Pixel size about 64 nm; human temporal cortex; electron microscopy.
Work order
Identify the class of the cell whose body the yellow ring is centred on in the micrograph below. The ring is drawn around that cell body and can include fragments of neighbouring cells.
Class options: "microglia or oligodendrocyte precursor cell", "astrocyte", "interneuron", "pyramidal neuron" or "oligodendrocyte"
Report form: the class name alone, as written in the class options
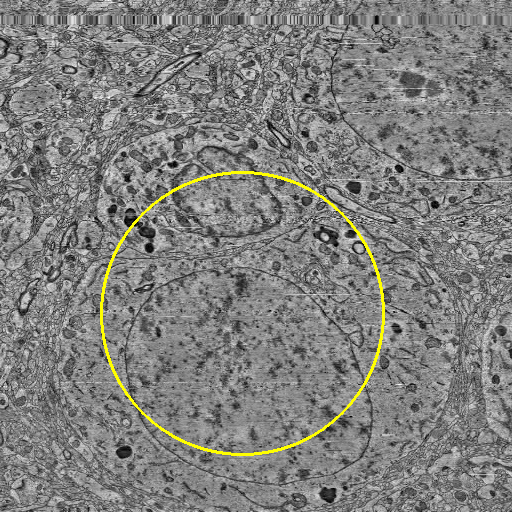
pyramidal neuron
